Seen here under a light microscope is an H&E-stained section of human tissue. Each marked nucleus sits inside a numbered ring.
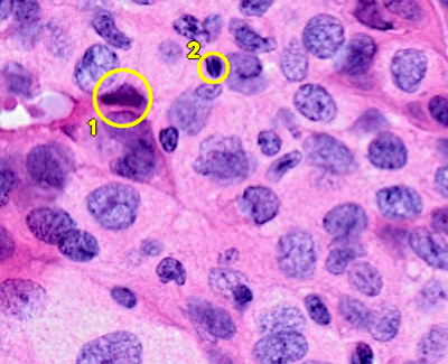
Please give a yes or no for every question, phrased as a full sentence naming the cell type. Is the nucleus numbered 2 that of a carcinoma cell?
No, it's not a carcinoma cell at number 2; that cell is a lymphocyte.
